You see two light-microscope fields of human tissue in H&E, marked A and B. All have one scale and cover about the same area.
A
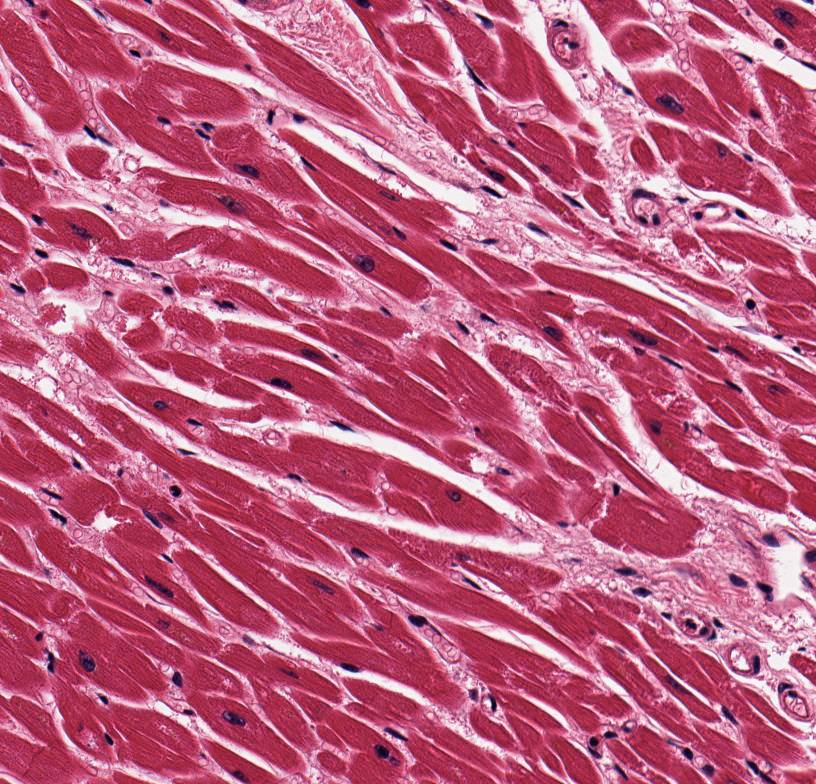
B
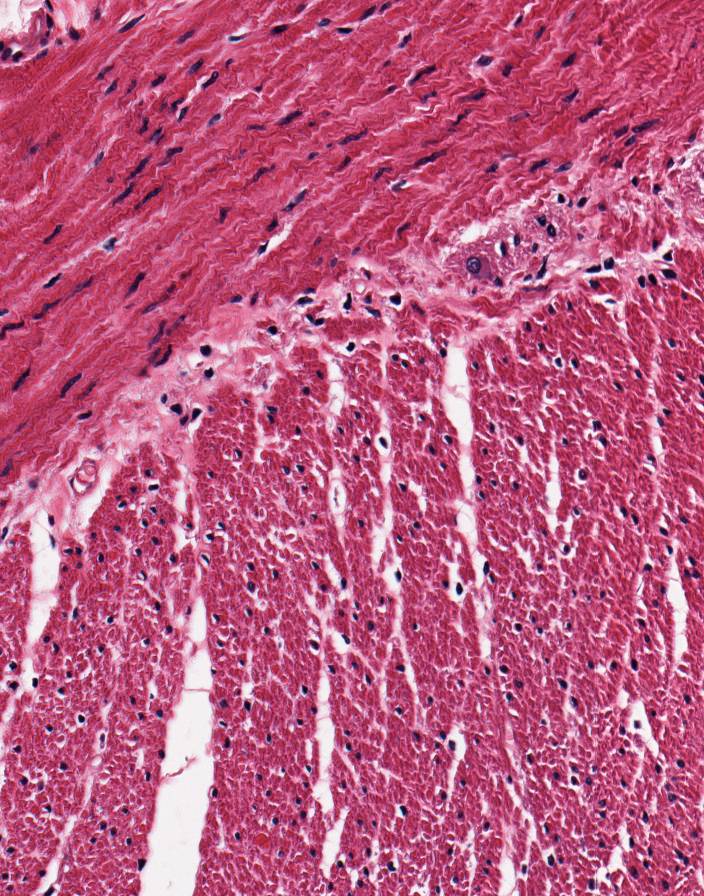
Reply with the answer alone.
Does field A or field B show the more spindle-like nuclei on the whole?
A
